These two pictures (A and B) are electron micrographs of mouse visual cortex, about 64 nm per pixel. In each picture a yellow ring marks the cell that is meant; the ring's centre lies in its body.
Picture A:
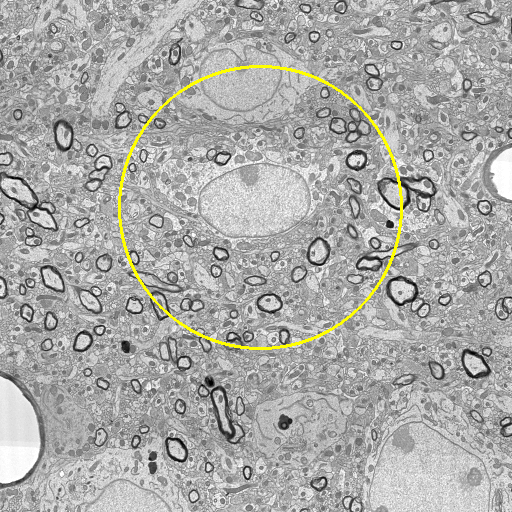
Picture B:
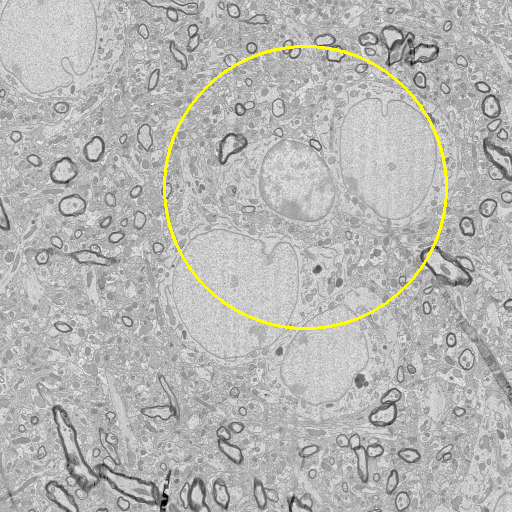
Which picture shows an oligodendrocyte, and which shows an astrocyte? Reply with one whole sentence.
Picture A shows an astrocyte and picture B shows an oligodendrocyte.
